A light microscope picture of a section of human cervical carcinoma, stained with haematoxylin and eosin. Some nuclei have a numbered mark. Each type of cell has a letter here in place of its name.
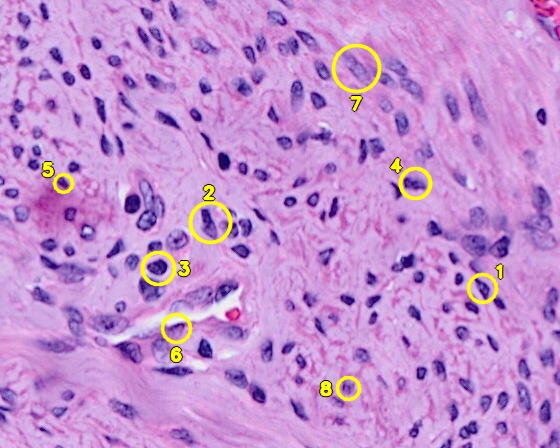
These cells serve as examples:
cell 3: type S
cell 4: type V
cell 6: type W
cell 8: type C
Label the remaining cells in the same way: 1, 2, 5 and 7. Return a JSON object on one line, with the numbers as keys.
{"1": "type V", "2": "type V", "5": "type C", "7": "type C"}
